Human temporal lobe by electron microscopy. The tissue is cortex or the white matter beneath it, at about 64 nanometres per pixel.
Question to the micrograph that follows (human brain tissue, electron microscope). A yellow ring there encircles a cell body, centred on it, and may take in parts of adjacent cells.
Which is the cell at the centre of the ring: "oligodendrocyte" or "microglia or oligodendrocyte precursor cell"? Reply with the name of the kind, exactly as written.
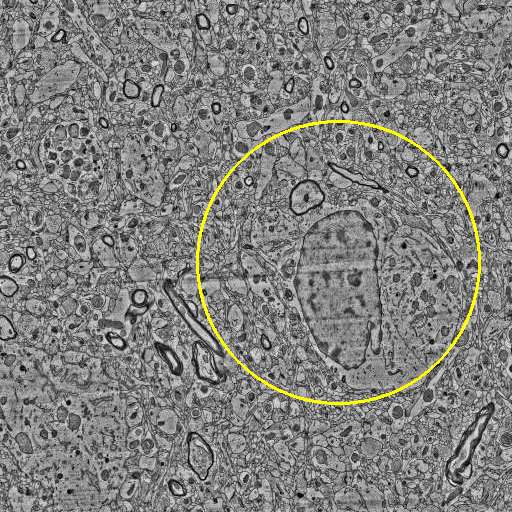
microglia or oligodendrocyte precursor cell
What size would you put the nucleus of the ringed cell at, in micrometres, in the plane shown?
In this plane the nucleus is clearly longer than it is wide: roughly 10 by 5 micrometres.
